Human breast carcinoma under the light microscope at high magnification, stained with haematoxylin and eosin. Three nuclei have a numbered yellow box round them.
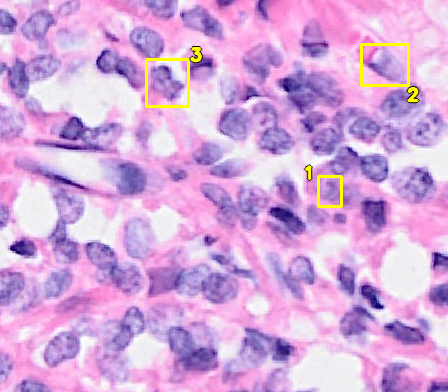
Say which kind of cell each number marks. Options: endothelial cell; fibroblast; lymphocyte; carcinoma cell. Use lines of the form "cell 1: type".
cell 1: carcinoma cell
cell 2: endothelial cell
cell 3: carcinoma cell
